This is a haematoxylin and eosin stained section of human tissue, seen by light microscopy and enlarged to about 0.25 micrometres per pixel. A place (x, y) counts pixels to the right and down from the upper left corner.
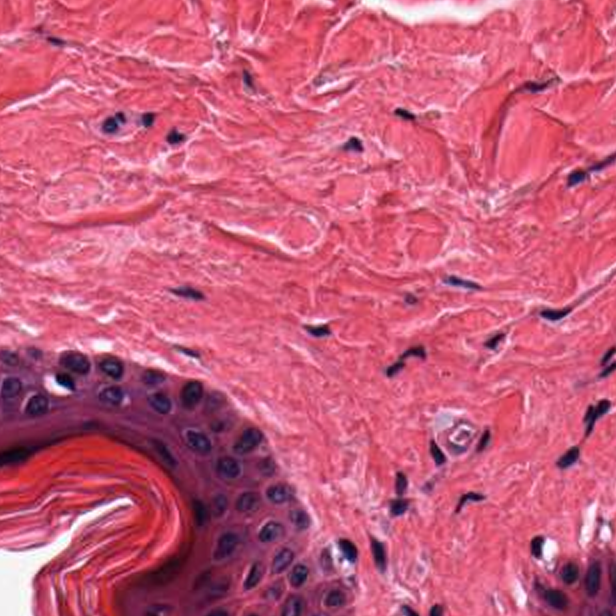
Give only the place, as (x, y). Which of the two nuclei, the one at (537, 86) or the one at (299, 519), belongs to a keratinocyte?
(299, 519)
